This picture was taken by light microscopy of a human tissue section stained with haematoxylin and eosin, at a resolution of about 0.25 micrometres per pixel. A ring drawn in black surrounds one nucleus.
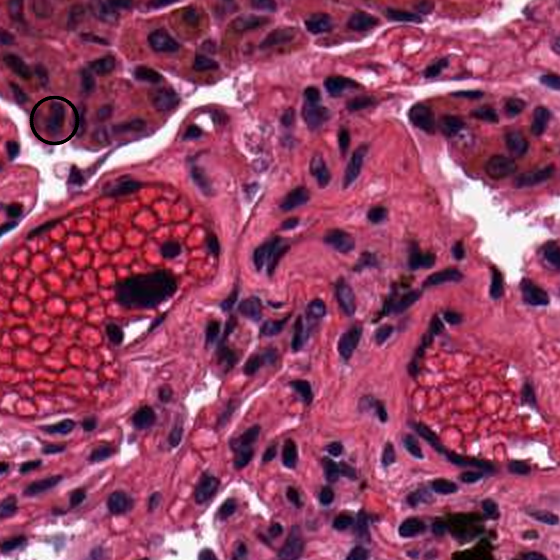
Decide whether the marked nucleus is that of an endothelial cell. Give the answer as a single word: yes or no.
no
